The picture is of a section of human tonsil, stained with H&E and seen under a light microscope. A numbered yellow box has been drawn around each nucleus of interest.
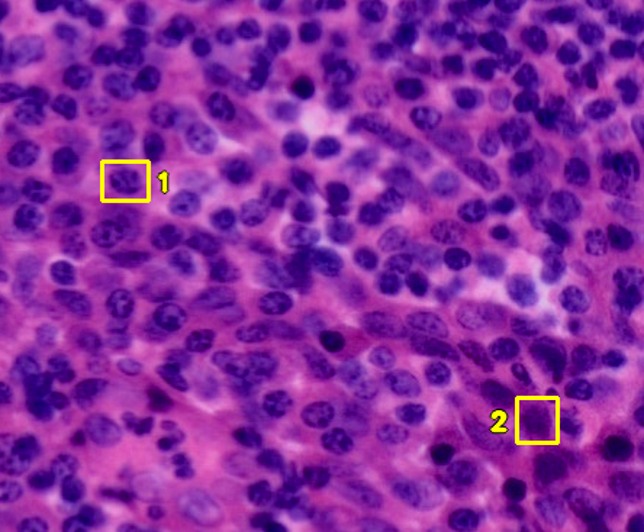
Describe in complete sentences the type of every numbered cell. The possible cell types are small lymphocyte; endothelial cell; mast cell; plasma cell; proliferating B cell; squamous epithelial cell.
Cell 1 is a plasma cell and cell 2 is a squamous epithelial cell.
